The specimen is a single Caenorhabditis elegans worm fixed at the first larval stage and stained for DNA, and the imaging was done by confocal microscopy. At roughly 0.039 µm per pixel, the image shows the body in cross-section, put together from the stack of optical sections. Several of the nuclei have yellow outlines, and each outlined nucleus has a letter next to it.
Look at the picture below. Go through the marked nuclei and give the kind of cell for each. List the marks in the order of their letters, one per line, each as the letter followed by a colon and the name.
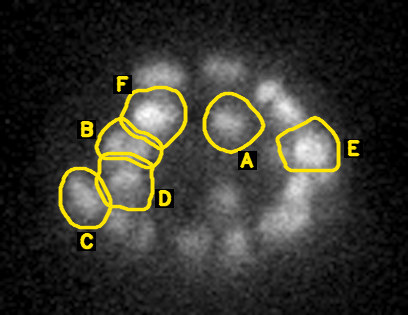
A: pharyngeal muscle cell
B: pharyngeal muscle cell
C: body wall muscle cell
D: neuron
E: neuron
F: neuron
